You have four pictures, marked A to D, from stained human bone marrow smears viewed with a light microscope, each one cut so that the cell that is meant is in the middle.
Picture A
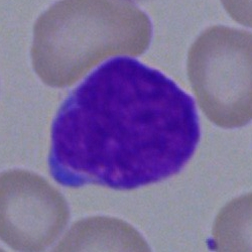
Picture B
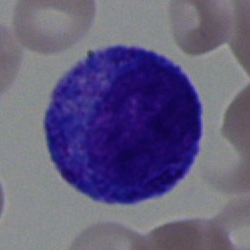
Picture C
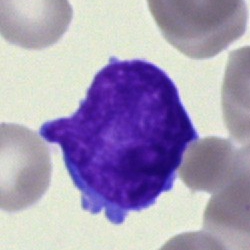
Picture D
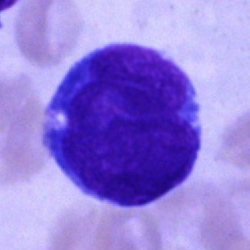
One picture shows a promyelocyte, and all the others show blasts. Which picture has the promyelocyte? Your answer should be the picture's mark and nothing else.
B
